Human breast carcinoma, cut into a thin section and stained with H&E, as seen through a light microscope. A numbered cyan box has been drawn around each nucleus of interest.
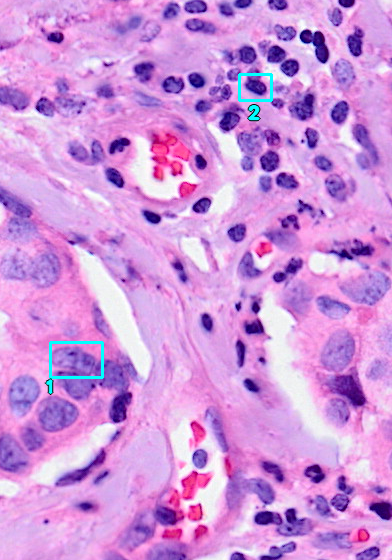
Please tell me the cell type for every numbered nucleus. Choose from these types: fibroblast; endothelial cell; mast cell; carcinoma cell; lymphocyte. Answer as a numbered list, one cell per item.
1. carcinoma cell
2. lymphocyte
